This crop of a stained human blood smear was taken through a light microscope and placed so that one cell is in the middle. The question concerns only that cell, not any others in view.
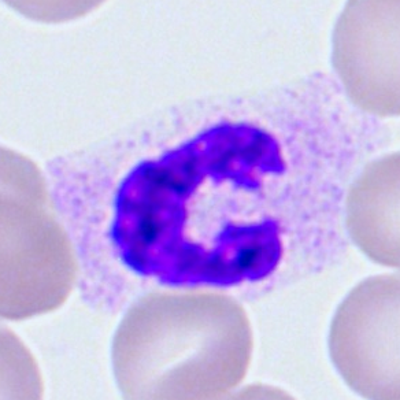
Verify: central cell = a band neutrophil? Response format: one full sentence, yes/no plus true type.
Yes, in this crop the cell in the middle is a band neutrophil.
